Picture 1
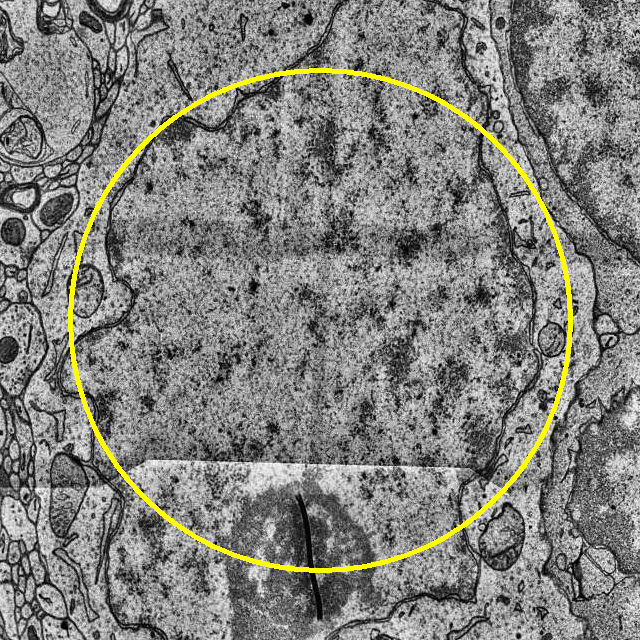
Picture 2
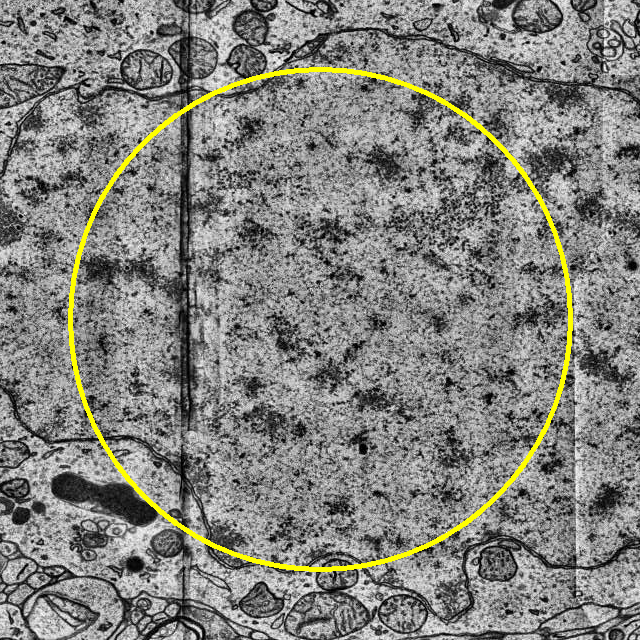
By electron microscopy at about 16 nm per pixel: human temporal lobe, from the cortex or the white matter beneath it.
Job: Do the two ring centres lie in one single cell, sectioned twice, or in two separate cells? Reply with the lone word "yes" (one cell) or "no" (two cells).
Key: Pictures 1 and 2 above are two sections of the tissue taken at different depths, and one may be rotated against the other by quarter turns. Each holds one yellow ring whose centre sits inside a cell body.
yes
